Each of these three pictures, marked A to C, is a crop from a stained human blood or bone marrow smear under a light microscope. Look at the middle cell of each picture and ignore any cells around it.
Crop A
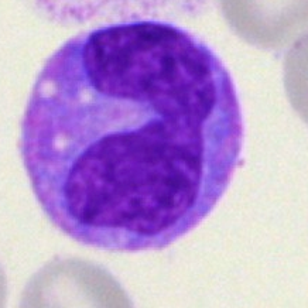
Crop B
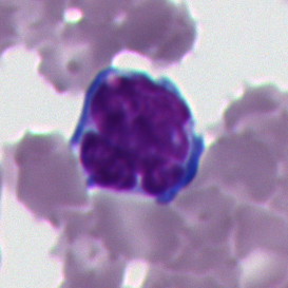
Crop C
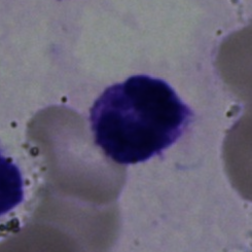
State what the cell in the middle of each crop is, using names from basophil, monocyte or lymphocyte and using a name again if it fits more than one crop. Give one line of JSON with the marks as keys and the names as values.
{"A": "monocyte", "B": "lymphocyte", "C": "basophil"}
